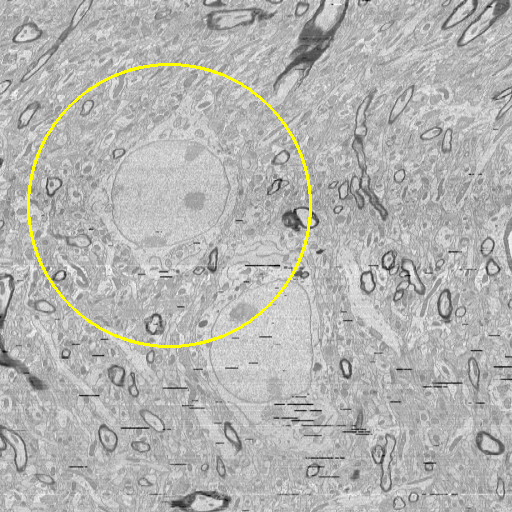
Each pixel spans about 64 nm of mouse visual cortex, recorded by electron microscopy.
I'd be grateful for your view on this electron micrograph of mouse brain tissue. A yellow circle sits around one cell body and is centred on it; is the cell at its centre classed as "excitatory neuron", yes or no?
yes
